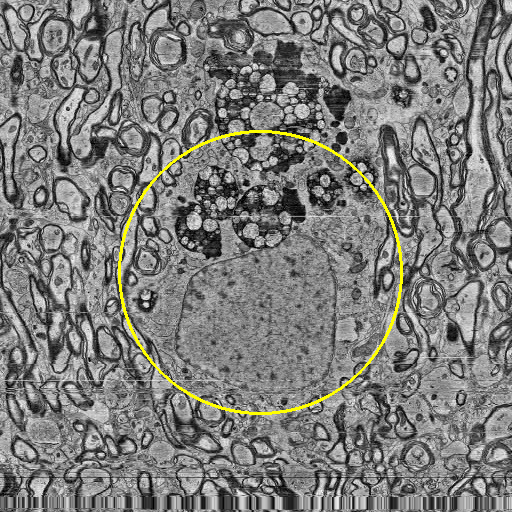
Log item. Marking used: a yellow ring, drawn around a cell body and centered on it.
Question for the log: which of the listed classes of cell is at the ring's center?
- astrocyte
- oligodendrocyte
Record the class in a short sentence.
At the center of the ring lies an astrocyte.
